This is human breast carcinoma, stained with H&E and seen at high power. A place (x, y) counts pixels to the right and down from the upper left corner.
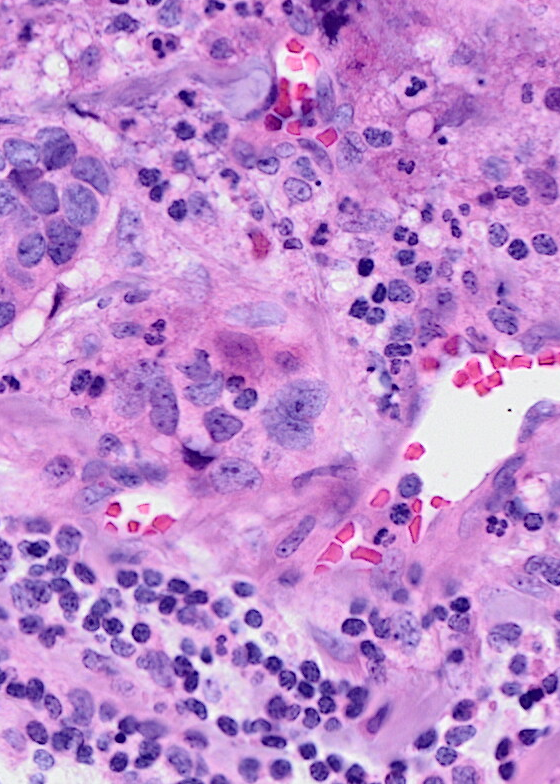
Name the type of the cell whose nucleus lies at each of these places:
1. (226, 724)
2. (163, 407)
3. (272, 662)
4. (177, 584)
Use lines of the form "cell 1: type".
cell 1: lymphocyte
cell 2: carcinoma cell
cell 3: lymphocyte
cell 4: lymphocyte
